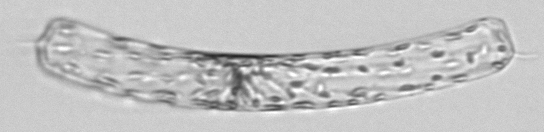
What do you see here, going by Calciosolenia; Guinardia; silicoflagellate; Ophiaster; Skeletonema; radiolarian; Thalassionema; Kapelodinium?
I see Guinardia.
